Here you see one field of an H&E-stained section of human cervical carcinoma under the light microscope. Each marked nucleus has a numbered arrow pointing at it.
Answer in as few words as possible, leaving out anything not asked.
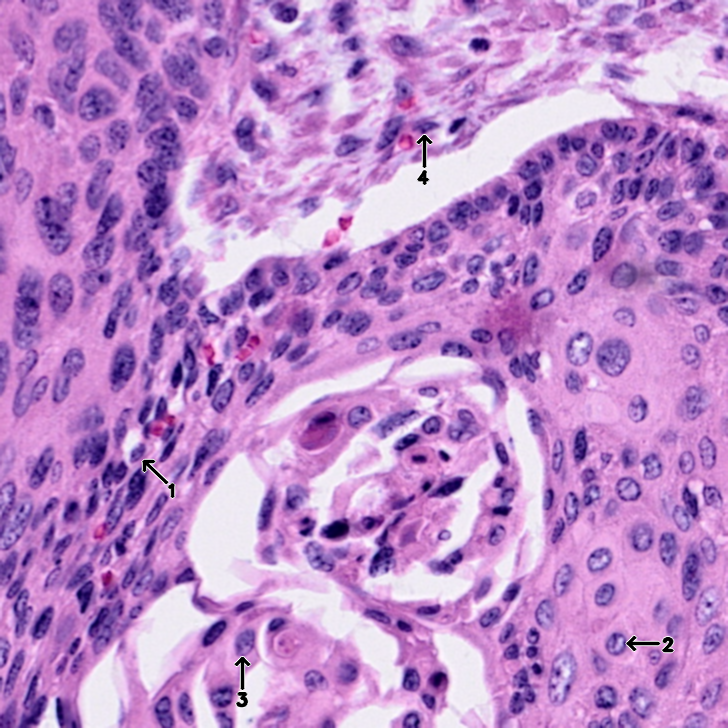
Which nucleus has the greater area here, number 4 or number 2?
2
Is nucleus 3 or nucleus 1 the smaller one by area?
1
